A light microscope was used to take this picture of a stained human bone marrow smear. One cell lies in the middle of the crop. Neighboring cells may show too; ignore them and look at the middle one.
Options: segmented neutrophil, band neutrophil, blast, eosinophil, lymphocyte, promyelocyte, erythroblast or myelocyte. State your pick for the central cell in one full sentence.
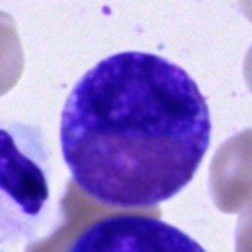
The central element of this crop is a cell, namely an eosinophil.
